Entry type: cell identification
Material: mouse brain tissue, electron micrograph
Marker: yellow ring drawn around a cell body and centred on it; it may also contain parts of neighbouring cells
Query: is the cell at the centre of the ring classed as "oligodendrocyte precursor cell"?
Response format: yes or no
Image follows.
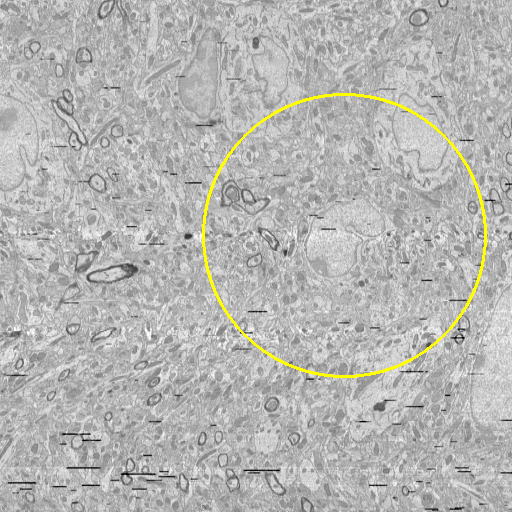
yes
